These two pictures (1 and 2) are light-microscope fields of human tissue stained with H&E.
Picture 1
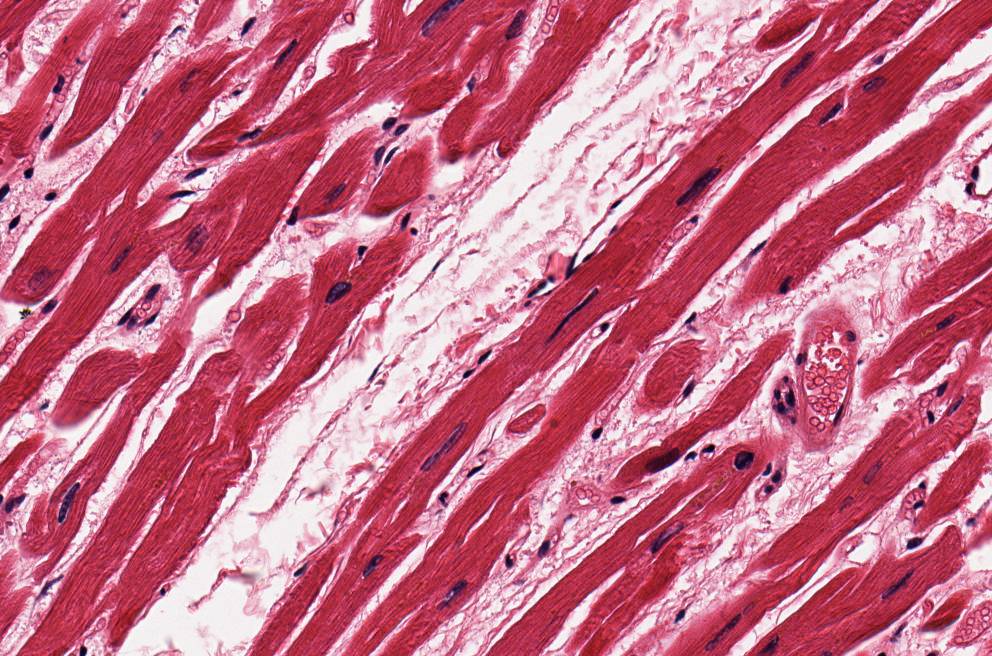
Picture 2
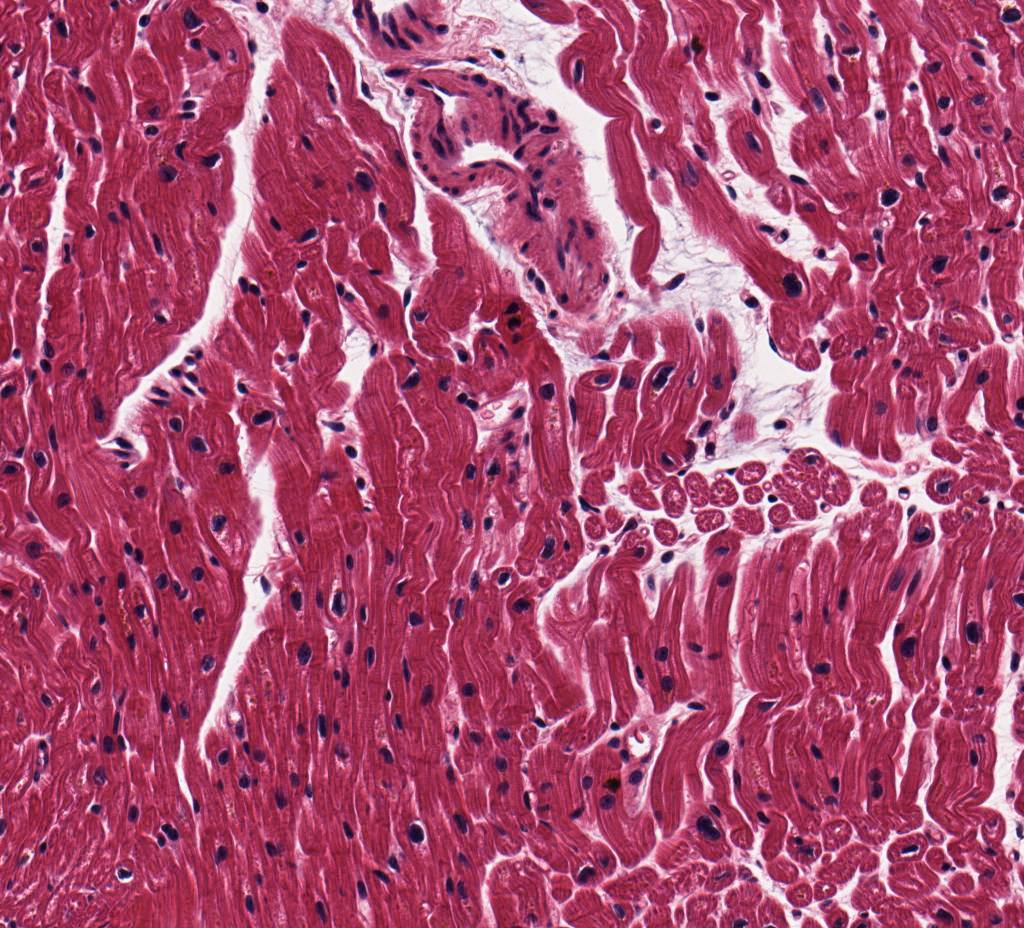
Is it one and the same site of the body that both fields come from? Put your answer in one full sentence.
Yes; both pictures come from the left ventricle of the heart.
